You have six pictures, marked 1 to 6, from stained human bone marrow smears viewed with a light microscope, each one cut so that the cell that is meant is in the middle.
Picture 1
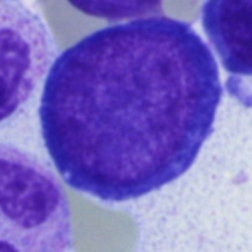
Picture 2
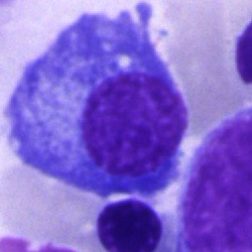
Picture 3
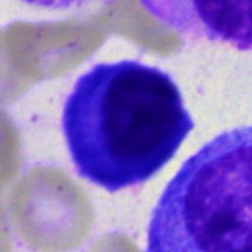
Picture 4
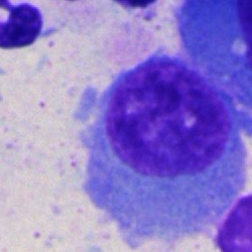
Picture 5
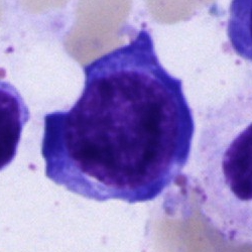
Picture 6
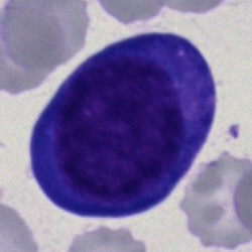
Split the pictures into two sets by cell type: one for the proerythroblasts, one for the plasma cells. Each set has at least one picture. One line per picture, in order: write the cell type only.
proerythroblast
plasma cell
plasma cell
plasma cell
proerythroblast
proerythroblast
